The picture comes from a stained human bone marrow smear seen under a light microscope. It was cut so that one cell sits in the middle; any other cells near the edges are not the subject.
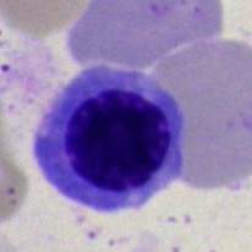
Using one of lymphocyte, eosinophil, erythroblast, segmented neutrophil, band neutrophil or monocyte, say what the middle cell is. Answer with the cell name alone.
erythroblast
